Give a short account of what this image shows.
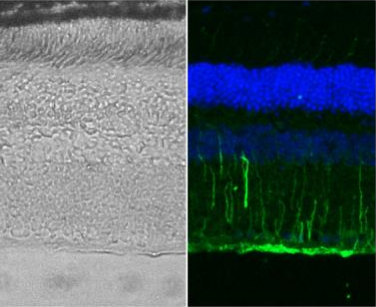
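A cross-section of retina shows its layered architecture, seen side by side in bright field and in fluorescence. At the top a thin dark pigmented band overlies a striated zone of outer segments, beneath which lie a thick outer nuclear layer and a thinner inner nuclear layer of blue-stained nuclei. The green stain forms a bright continuous line along the innermost surface at the ganglion cell layer, from which thin straight green fibres run radially outward through the inner retina toward the inner nuclear layer.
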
